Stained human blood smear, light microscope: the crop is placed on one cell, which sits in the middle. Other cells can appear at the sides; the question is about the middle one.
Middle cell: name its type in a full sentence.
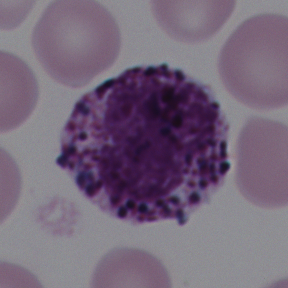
The middle cell in this particular crop is a basophil.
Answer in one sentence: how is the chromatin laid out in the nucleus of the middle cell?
Check the chromatin: it is fine and not coarsely clumped.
